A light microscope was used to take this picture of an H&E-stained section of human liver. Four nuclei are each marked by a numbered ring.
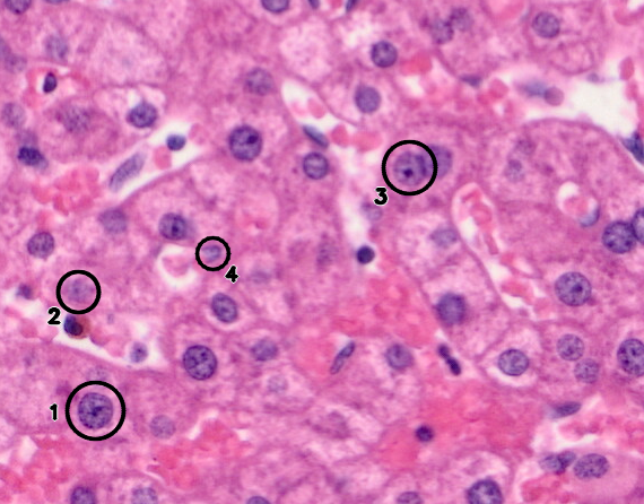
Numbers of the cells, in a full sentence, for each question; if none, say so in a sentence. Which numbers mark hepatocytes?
The cells tagged 1, 2 and 3 are hepatocytes in this tissue section.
